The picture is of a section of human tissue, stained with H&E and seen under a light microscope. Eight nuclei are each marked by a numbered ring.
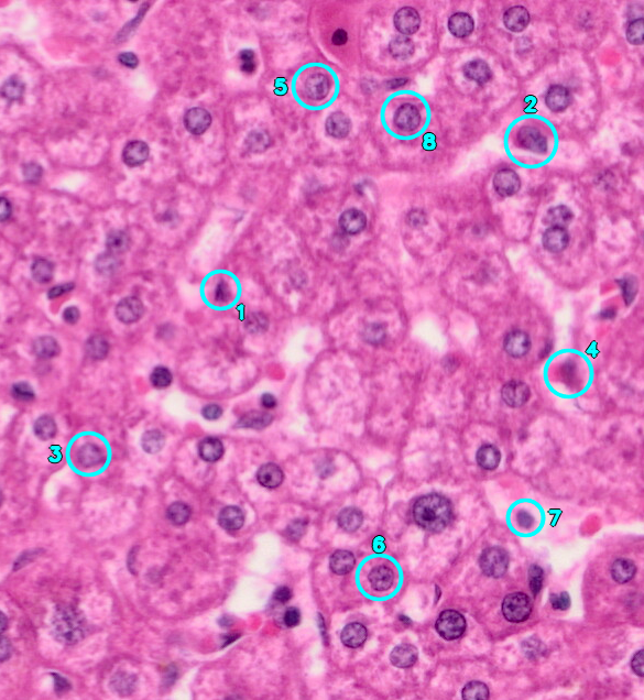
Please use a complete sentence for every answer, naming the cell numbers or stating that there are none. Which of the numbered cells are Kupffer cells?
The cells numbered 2 and 4 fall into the category of Kupffer cells.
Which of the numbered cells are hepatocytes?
The cells that have numbers 3, 5, 6 and 8 are hepatocytes.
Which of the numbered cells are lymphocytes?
Cell 7 is a lymphocyte, whereas each of the other numbered cells is not.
